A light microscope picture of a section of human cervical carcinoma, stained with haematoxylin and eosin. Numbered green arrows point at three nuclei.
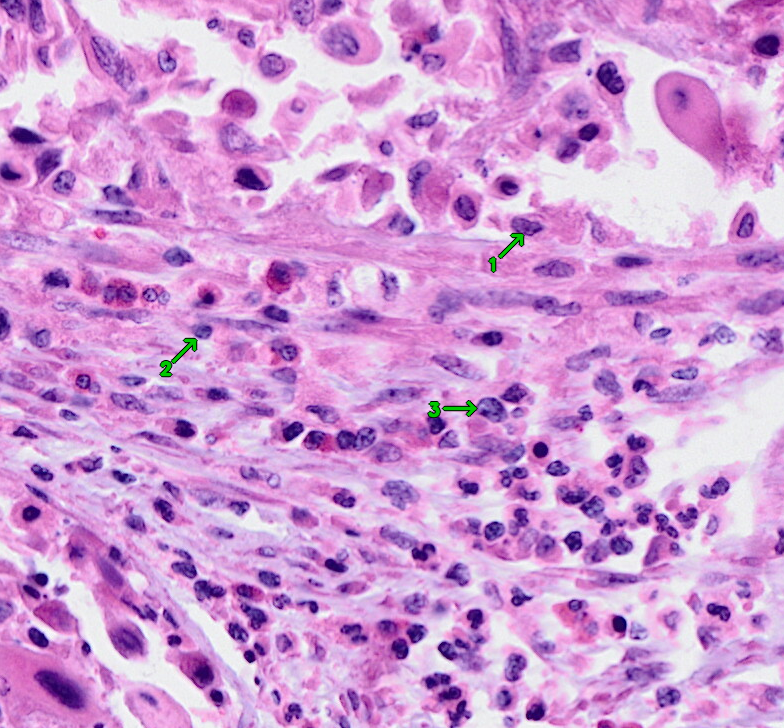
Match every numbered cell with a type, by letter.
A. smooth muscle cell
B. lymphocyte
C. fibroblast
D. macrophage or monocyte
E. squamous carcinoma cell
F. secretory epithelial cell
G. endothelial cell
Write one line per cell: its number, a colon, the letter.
1: D
2: B
3: B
